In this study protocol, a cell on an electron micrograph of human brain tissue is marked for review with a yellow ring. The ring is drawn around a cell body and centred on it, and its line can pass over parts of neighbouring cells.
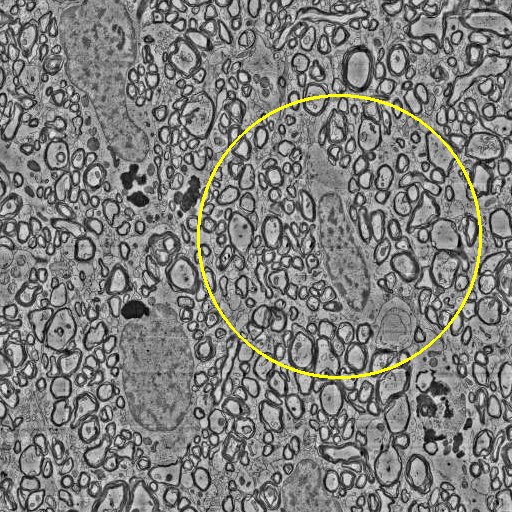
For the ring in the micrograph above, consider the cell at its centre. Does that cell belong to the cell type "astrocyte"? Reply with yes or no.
yes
